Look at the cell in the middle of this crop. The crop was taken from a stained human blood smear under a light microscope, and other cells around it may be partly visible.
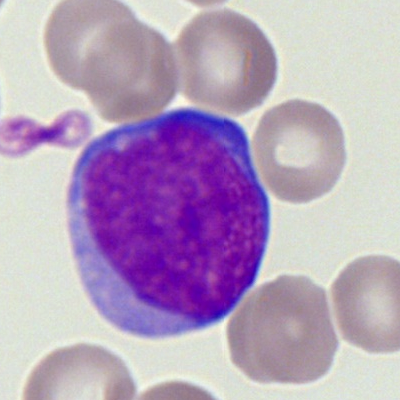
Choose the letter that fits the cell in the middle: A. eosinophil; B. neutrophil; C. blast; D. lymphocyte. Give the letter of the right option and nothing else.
C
